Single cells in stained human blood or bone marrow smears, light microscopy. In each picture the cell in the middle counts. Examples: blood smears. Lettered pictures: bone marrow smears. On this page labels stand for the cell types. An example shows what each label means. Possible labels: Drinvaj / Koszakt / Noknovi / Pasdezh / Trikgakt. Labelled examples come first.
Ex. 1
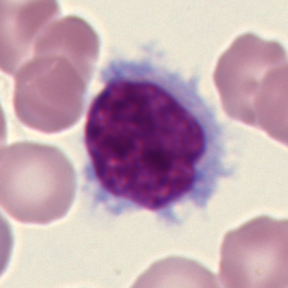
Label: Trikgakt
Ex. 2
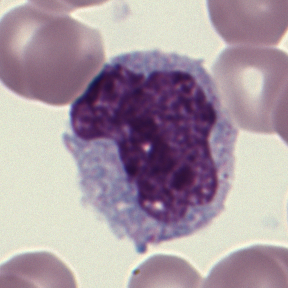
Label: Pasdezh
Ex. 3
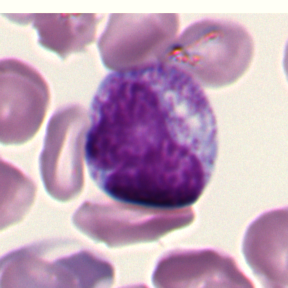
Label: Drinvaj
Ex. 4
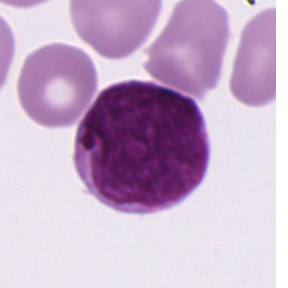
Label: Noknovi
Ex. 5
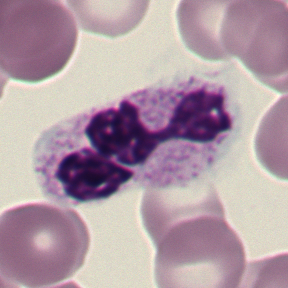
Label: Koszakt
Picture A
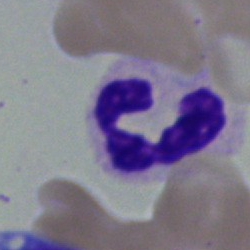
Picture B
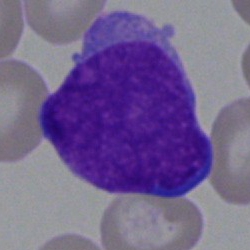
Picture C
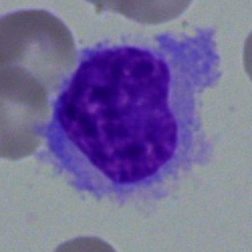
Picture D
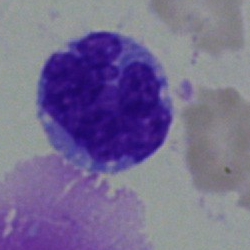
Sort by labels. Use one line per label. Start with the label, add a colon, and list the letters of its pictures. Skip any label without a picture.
Koszakt: A
Noknovi: B
Pasdezh: D
Trikgakt: C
